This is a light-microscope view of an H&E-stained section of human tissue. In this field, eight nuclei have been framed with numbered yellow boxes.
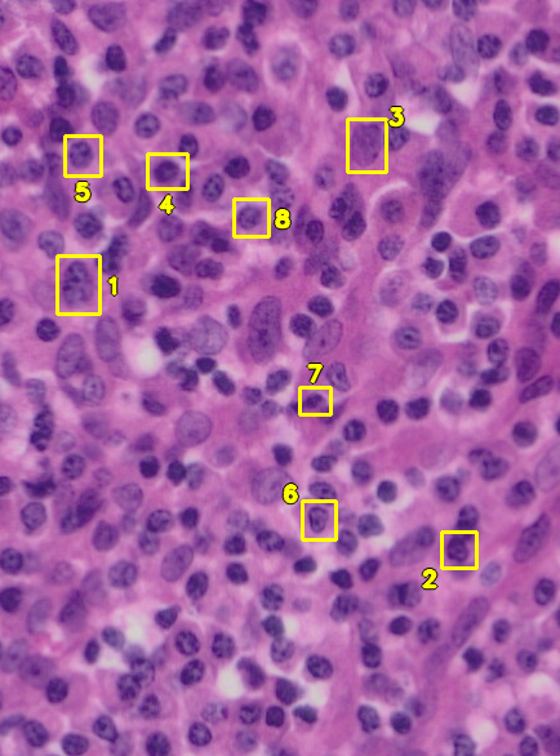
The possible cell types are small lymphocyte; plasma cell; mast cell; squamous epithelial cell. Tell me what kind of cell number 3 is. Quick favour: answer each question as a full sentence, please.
Identified as a squamous epithelial cell is the cell bearing the number 3.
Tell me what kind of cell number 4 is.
Among the marked nuclei, number 4 belongs to a plasma cell.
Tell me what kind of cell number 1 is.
The cell that is numbered 1 is a squamous epithelial cell.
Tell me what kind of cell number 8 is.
The cell that carries the label 8 is a plasma cell.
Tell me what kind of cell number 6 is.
Identified by the number 6, the cell is a plasma cell.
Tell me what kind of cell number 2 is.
Belonging to a plasma cell is the nucleus that carries the number 2.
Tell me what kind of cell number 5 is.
Recognised here as a plasma cell is the cell numbered 5.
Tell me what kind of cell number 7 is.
Recognised here as a squamous epithelial cell is the cell numbered 7.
